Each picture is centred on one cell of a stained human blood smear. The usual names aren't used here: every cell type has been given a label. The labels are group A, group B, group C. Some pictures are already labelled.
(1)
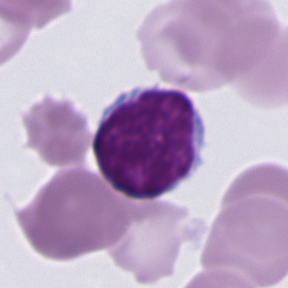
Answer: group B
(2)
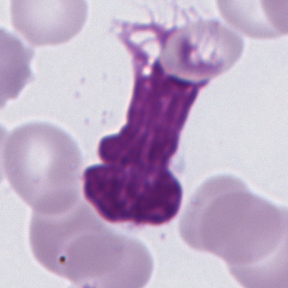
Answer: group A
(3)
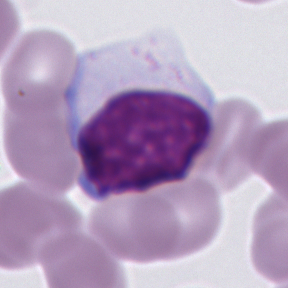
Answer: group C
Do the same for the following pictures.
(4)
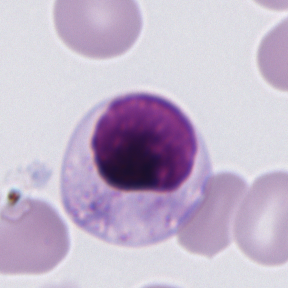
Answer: group C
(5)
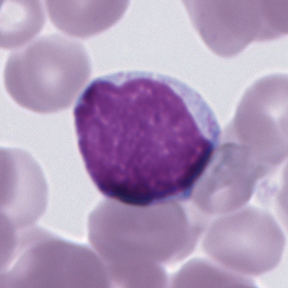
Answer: group C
